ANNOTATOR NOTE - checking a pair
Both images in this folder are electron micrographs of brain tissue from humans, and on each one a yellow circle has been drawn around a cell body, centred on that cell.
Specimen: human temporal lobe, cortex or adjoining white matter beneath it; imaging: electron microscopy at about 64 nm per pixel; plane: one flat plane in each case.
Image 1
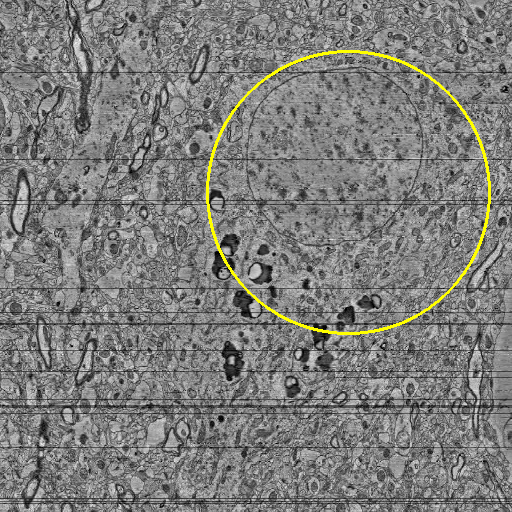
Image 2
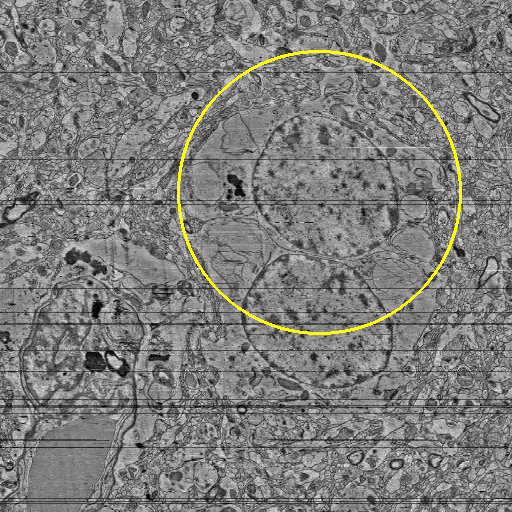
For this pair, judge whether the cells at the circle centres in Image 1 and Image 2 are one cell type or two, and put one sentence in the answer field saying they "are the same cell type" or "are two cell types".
For this pair, the cells at the circle centres in Images 1 and 2 are two cell types.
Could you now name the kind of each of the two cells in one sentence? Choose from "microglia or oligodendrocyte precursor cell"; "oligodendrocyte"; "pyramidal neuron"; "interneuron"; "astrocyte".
The first ring encloses a pyramidal neuron; the second ring encloses an astrocyte.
